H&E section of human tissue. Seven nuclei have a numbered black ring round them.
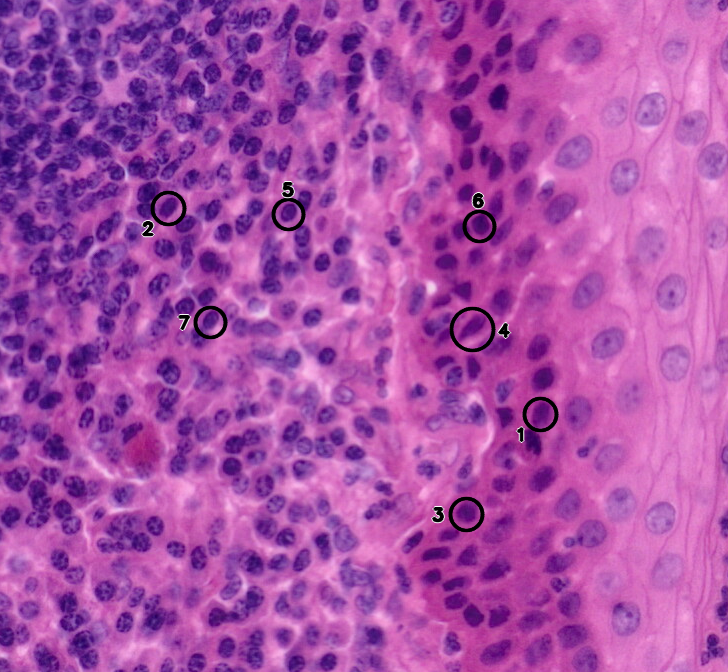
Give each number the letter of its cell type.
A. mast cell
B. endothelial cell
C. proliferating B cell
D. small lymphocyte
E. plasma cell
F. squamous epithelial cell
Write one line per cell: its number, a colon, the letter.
1: F
2: E
3: F
4: F
5: E
6: F
7: E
